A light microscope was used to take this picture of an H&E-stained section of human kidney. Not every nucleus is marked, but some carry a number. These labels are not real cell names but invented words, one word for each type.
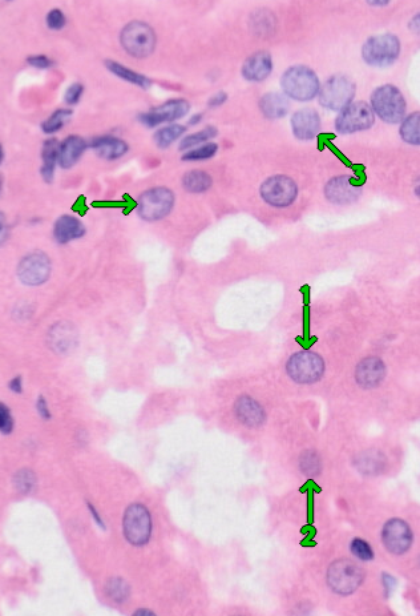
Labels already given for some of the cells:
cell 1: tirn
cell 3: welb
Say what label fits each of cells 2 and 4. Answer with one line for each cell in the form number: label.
2: tirn
4: tirn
